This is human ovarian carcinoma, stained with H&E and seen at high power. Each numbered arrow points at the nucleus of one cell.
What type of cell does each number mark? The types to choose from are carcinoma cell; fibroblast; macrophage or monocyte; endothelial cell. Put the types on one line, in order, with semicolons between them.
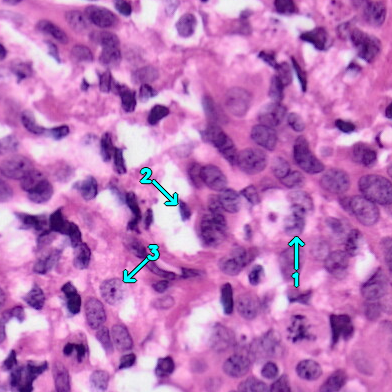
macrophage or monocyte; carcinoma cell; macrophage or monocyte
